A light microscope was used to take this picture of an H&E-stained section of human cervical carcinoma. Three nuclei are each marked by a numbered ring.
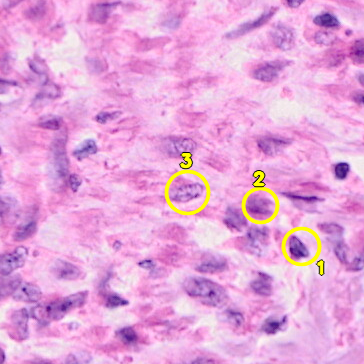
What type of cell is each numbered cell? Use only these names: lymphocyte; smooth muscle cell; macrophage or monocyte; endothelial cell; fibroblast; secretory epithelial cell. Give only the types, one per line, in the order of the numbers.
lymphocyte
fibroblast
fibroblast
